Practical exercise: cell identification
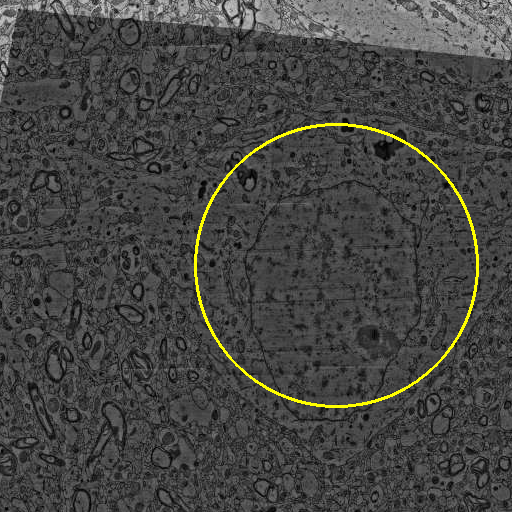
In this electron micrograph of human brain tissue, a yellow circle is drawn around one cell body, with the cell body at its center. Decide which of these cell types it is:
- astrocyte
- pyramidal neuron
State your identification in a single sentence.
The ringed cell is a pyramidal neuron.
